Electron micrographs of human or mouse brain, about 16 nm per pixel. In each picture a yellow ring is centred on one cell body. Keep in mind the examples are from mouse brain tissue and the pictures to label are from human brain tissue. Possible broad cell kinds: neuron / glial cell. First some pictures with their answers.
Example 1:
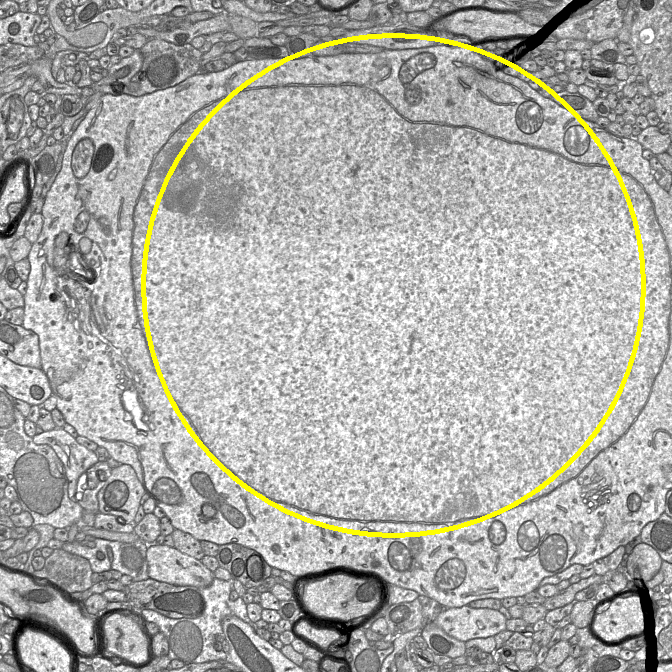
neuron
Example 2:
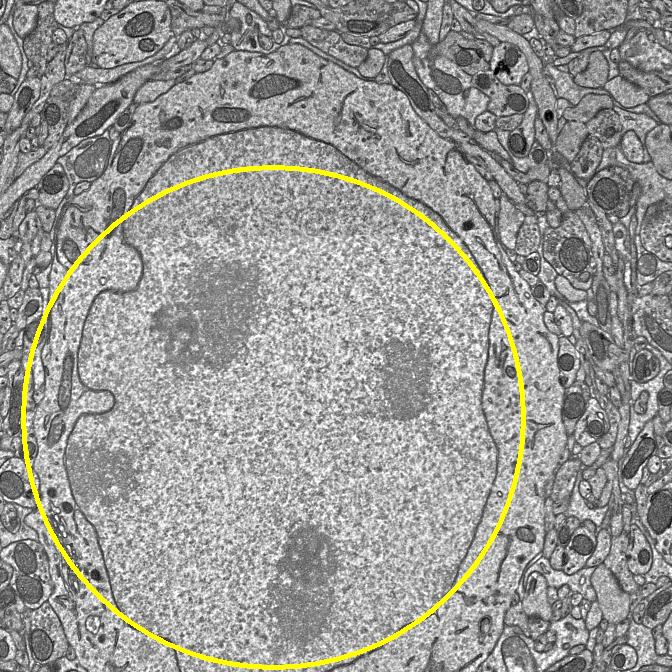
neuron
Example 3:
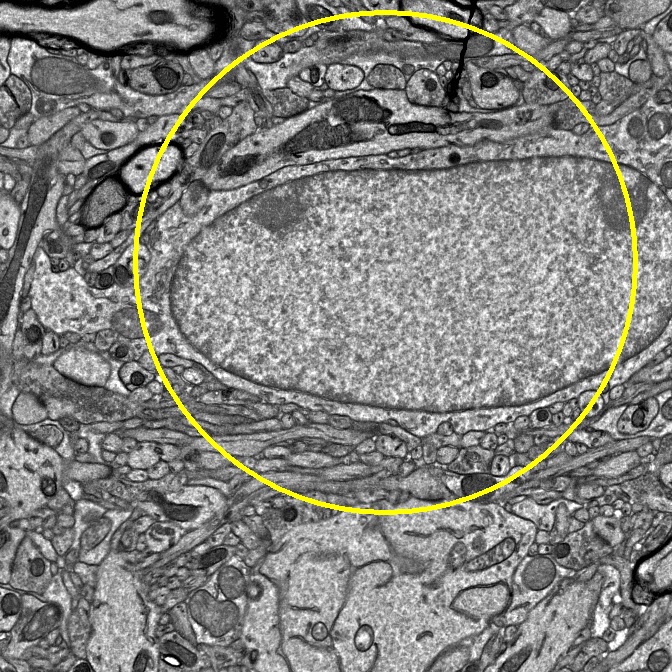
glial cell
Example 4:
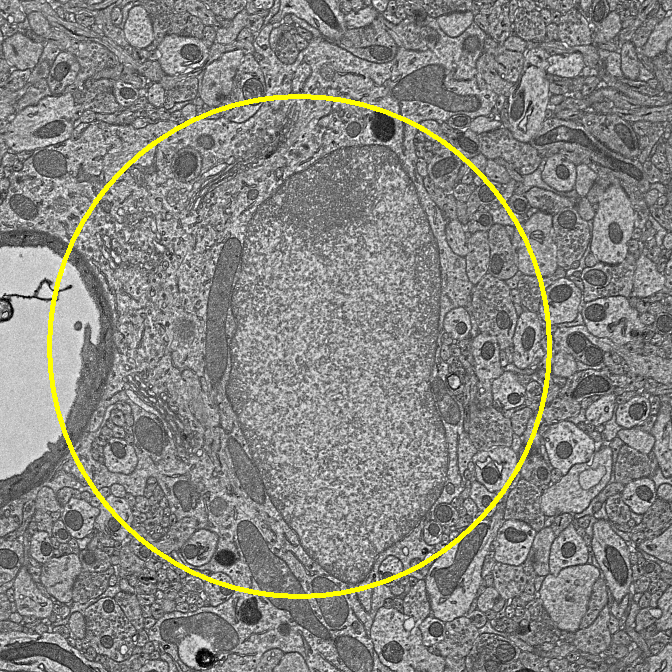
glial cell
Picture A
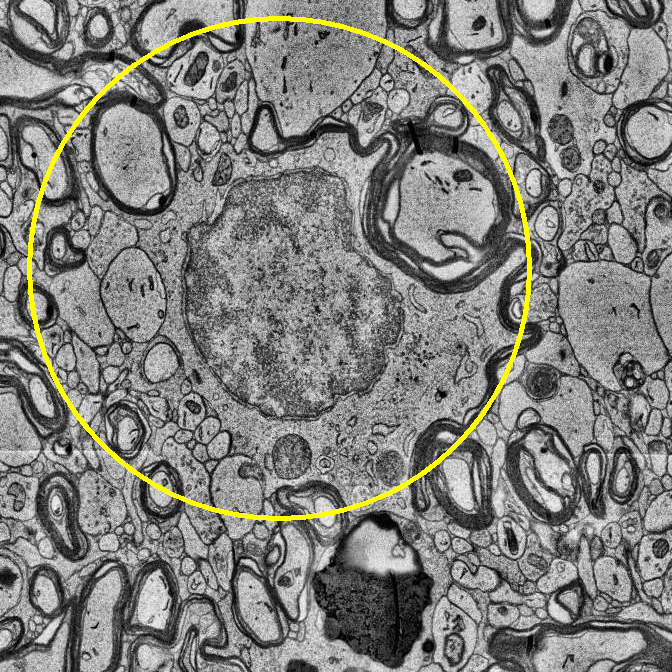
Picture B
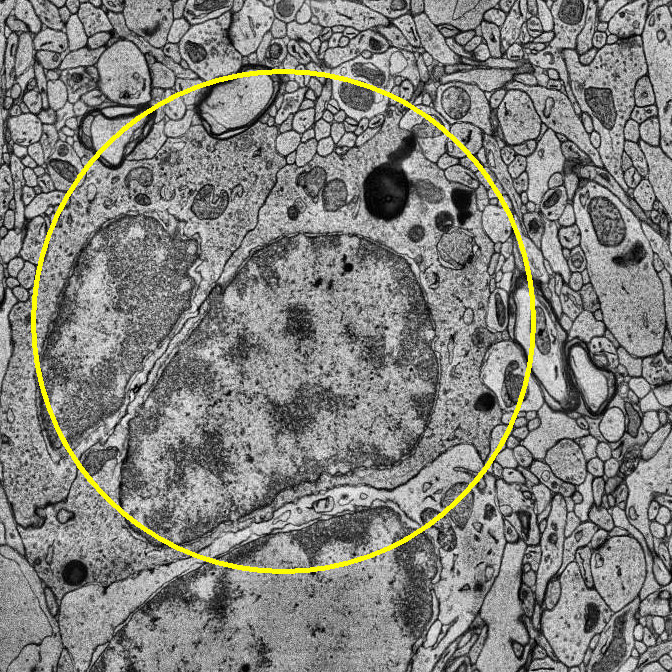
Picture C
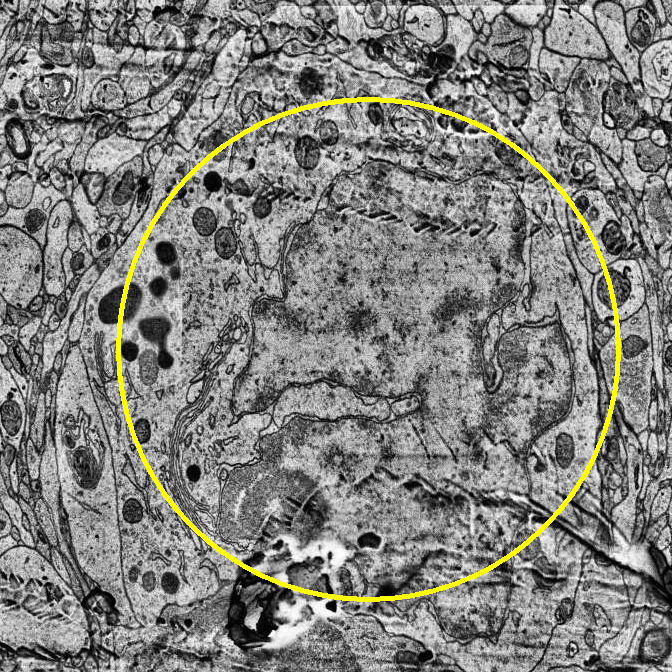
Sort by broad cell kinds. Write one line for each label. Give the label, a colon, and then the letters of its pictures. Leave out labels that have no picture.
neuron: C
glial cell: A, B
